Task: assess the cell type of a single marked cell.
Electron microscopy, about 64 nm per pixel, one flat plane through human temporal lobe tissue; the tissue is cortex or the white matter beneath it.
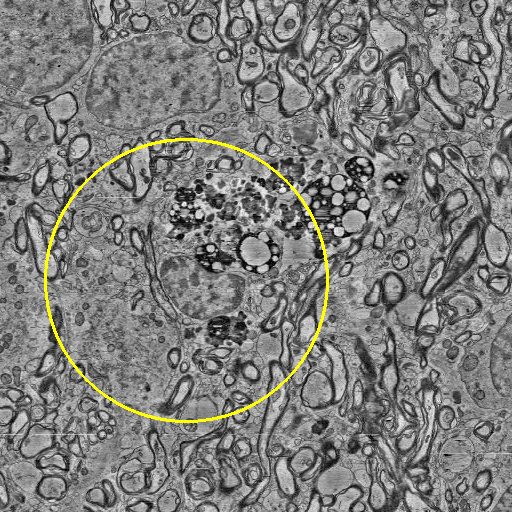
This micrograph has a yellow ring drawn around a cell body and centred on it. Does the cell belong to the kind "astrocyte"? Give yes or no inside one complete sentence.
No, the marked cell at the centre of the ring belongs to another kind.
